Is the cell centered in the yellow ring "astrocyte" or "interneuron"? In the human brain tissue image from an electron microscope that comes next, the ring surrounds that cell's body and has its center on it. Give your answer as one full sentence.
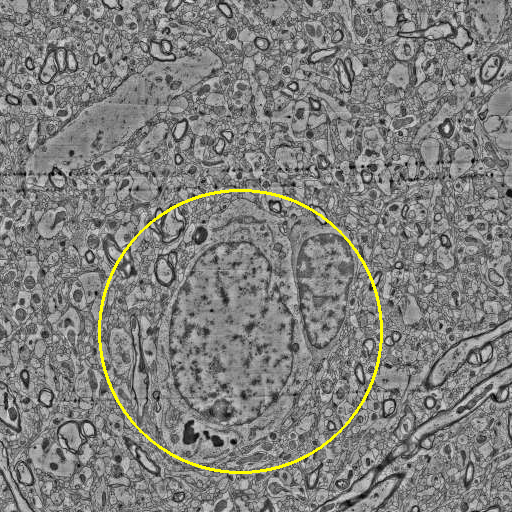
The cell at the center of the yellow ring is an interneuron in the micrograph.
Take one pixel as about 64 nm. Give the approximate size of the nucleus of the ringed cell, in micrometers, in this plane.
About 12 by 8 micrometers, in this plane.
